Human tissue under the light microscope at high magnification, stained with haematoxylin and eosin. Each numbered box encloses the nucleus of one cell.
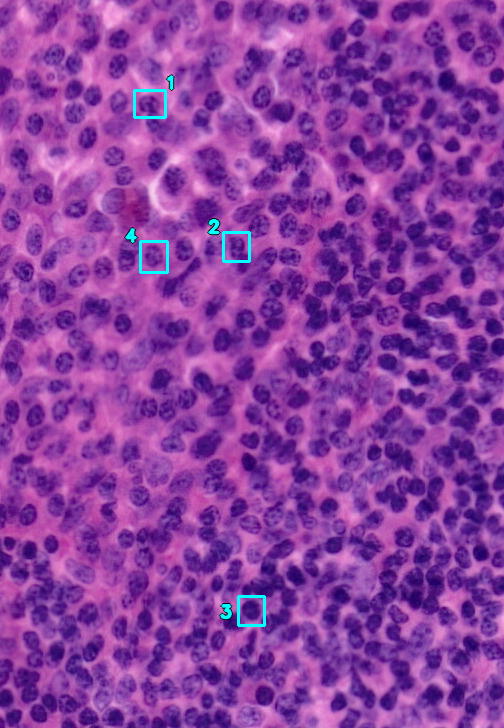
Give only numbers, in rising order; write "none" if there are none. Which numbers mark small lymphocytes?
3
